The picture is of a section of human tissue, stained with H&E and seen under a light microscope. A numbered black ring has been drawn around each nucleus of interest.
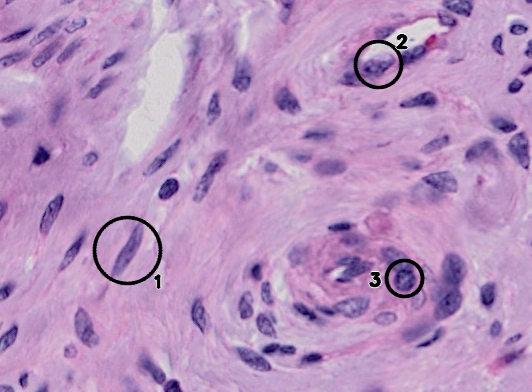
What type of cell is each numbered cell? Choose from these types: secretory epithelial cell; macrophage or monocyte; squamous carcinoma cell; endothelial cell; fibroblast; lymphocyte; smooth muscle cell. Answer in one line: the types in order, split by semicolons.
fibroblast; endothelial cell; smooth muscle cell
